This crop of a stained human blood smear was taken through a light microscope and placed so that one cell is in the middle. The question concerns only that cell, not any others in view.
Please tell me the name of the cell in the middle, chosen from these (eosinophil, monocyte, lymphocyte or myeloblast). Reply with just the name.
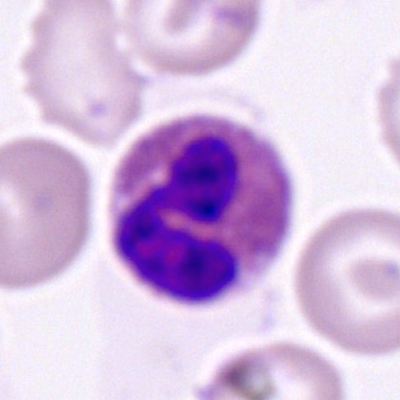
eosinophil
